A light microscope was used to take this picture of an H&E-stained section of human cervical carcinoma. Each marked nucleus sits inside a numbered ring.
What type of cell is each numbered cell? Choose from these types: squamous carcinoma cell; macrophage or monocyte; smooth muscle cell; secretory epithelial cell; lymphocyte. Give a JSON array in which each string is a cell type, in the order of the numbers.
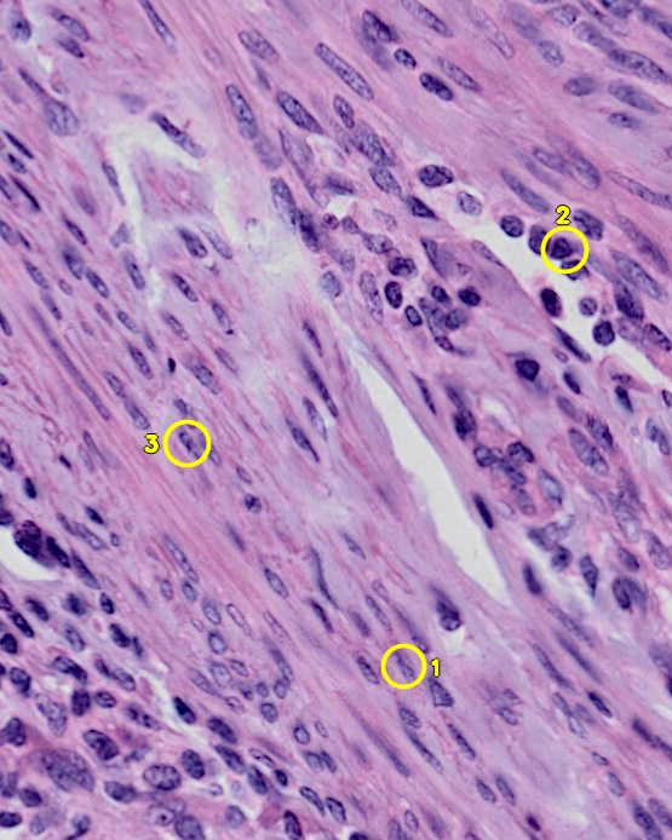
["smooth muscle cell", "lymphocyte", "smooth muscle cell"]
